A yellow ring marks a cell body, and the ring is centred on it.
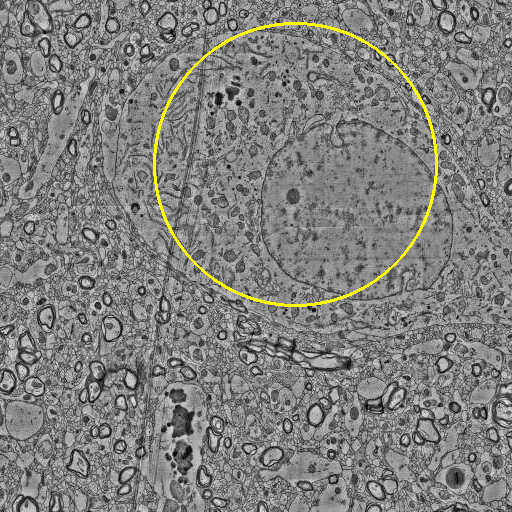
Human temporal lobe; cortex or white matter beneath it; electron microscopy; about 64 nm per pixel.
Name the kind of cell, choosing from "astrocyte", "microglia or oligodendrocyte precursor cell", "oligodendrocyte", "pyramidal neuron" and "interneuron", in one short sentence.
The marked cell body belongs to an interneuron.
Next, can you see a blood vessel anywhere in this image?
No, no blood vessel can be seen.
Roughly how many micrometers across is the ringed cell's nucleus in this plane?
About 13 by 11 micrometers for the nucleus, in this plane.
